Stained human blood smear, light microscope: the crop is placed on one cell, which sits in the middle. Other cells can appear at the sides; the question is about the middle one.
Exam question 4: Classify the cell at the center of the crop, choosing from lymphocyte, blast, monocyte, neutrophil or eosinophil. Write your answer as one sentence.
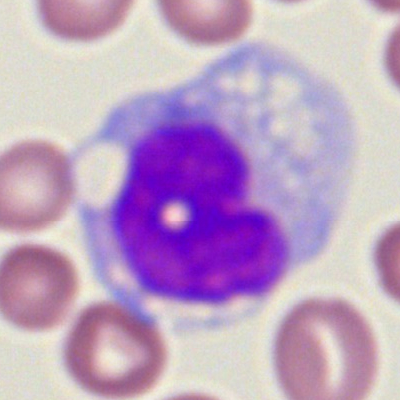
The crop centres on a single cell, and that cell is a monocyte.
